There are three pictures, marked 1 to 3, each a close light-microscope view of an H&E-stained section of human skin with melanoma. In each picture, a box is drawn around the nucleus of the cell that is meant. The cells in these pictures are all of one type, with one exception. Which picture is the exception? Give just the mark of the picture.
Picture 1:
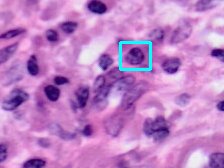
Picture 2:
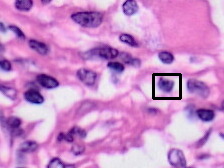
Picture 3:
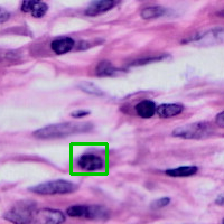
2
